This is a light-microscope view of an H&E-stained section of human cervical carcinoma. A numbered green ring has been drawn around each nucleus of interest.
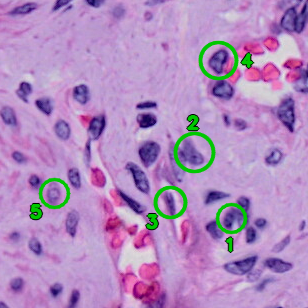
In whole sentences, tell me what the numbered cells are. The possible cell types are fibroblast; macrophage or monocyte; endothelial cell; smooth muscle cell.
Cells 1, 3 and 4 are endothelial cells. Cell 2 is a fibroblast. Cell 5 is a smooth muscle cell.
